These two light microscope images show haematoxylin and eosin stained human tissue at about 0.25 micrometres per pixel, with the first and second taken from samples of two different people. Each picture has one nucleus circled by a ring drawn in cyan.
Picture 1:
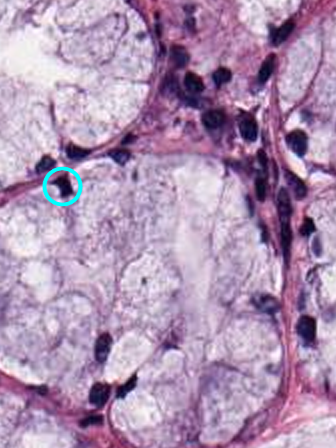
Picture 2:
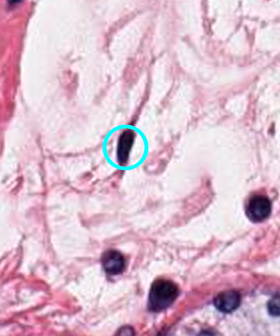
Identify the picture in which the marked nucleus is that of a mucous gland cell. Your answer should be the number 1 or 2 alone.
1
